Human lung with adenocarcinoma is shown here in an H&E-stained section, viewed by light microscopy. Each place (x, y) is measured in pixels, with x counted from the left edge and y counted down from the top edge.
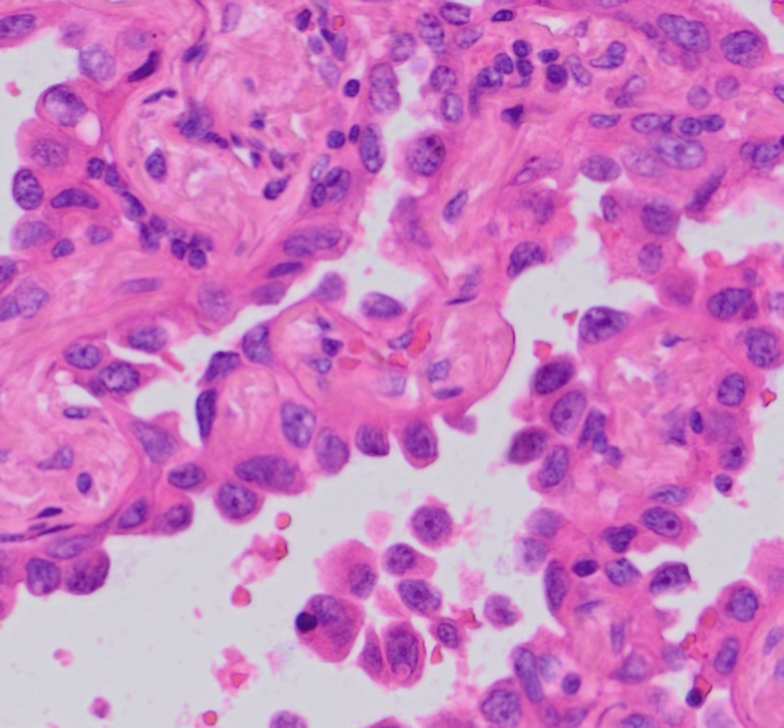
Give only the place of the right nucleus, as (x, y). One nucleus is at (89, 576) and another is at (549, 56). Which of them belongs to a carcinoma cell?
(89, 576)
